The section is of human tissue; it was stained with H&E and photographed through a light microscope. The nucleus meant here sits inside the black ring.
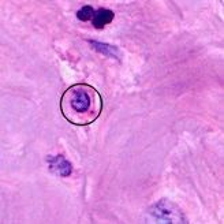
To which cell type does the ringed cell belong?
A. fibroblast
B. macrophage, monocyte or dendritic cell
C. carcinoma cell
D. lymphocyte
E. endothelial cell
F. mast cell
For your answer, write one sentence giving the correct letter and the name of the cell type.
Option F describes the ringed cell accurately as a mast cell.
